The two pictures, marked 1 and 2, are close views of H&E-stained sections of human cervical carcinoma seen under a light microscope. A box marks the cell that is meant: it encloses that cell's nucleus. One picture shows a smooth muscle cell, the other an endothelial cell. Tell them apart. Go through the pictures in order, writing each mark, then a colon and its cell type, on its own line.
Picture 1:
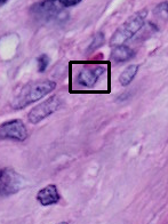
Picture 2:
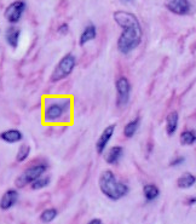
1: endothelial cell
2: smooth muscle cell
